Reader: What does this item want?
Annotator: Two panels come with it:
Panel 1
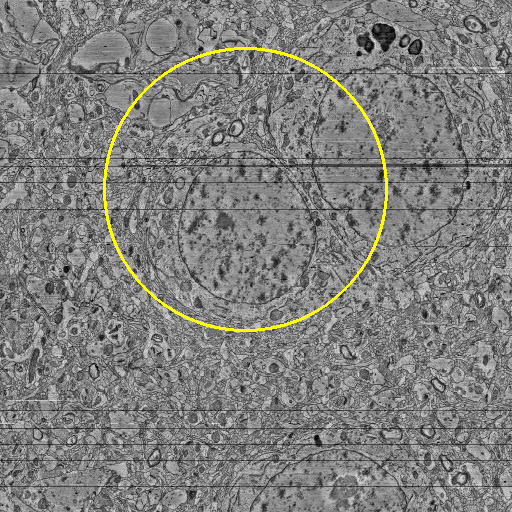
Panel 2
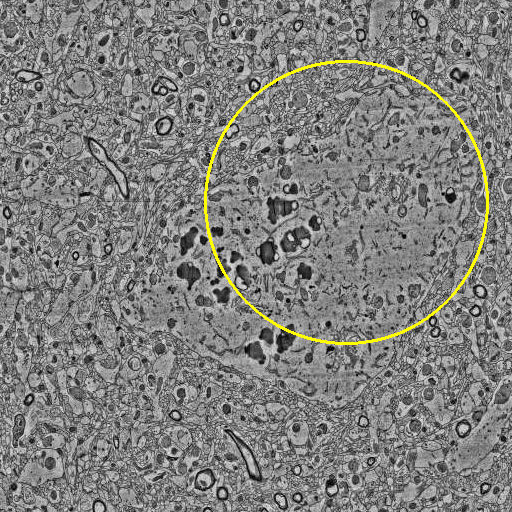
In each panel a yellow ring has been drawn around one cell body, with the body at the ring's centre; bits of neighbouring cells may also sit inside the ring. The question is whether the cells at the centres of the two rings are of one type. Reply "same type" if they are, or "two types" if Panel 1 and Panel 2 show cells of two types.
same type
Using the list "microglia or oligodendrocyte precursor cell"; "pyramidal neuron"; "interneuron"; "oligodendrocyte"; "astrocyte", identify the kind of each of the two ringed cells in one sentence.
Both the first and the second picture show a pyramidal neuron in the ring.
